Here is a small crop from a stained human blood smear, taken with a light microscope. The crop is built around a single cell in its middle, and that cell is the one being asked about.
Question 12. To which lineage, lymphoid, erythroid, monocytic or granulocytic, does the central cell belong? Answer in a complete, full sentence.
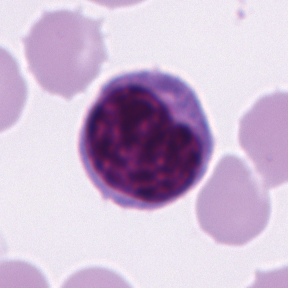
The cell in the middle comes from the erythroid lineage of blood cells.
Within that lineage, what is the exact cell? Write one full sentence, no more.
The centered cell in this crop is a normoblast.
